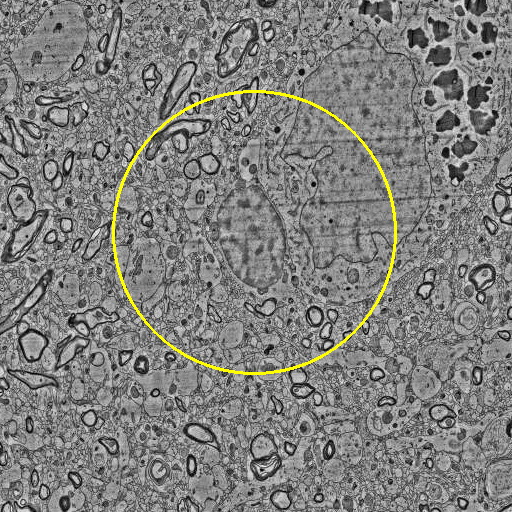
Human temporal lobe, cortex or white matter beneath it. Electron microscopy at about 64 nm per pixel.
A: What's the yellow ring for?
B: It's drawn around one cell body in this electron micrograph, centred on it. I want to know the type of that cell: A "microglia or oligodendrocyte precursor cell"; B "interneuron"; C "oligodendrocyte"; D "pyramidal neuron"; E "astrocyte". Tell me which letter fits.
C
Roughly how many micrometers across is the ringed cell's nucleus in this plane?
About 7 by 4 micrometres in this plane; clearly longer than it is wide.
